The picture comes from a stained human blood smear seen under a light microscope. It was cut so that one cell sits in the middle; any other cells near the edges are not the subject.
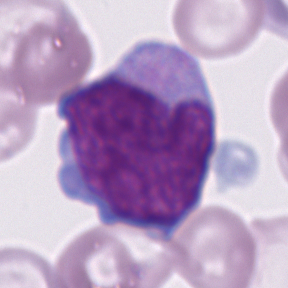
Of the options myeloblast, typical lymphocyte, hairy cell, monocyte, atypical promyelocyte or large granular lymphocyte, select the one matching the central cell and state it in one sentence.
Looking at the middle of the crop, the cell there is a myeloblast.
